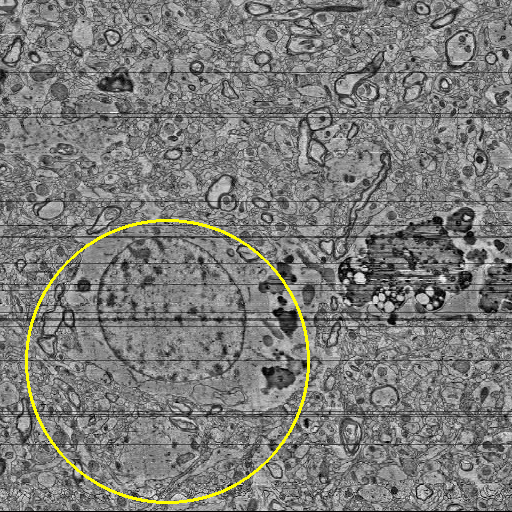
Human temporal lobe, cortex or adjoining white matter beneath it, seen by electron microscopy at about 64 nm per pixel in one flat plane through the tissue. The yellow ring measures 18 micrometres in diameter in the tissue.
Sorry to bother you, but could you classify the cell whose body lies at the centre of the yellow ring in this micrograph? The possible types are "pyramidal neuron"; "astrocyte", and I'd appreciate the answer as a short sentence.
The ringed cell body is that of an astrocyte.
